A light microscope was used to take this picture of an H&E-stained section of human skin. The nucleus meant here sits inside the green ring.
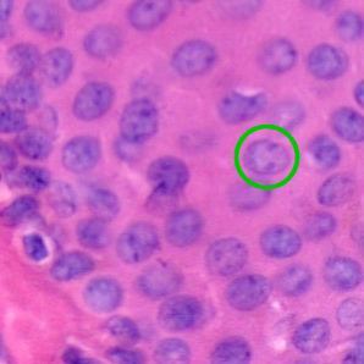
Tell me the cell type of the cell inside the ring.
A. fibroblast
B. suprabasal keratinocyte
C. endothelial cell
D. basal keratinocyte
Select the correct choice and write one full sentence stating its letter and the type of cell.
In this item, the cell inside the ring is a suprabasal keratinocyte, and option B is right.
